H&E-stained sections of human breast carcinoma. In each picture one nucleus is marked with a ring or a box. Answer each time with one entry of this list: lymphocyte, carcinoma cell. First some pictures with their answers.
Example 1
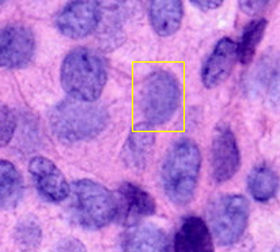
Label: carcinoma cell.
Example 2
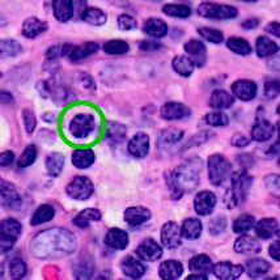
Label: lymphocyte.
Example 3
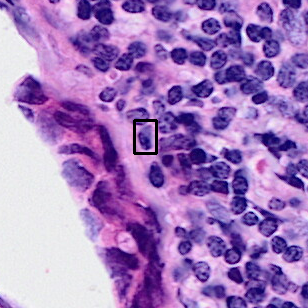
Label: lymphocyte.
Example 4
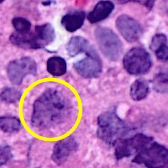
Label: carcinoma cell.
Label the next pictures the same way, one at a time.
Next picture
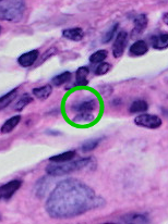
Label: lymphocyte.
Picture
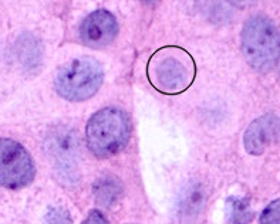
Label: carcinoma cell.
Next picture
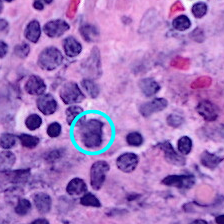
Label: lymphocyte.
